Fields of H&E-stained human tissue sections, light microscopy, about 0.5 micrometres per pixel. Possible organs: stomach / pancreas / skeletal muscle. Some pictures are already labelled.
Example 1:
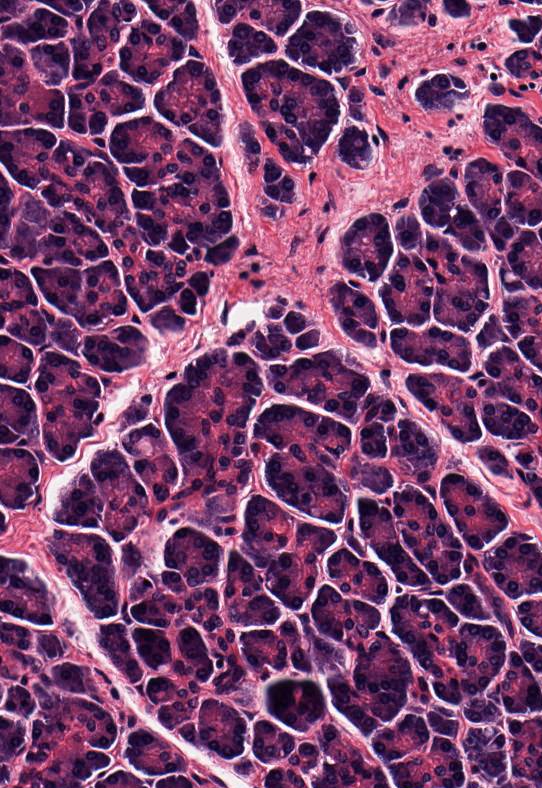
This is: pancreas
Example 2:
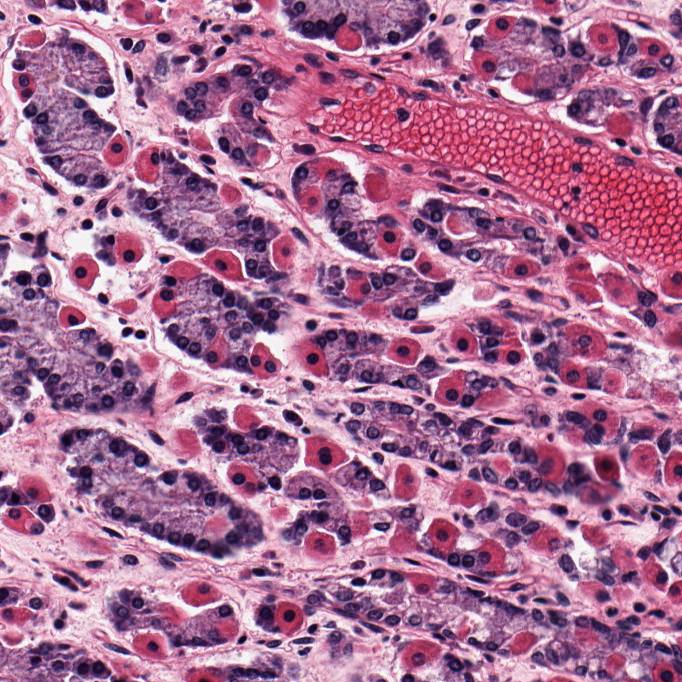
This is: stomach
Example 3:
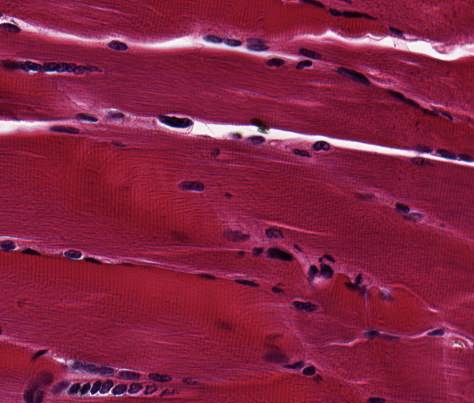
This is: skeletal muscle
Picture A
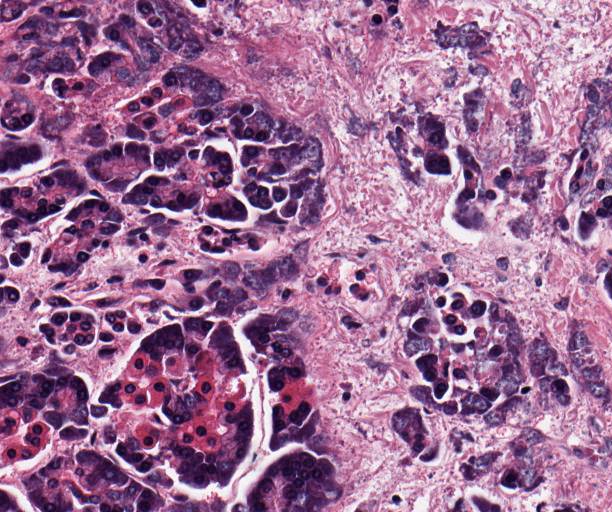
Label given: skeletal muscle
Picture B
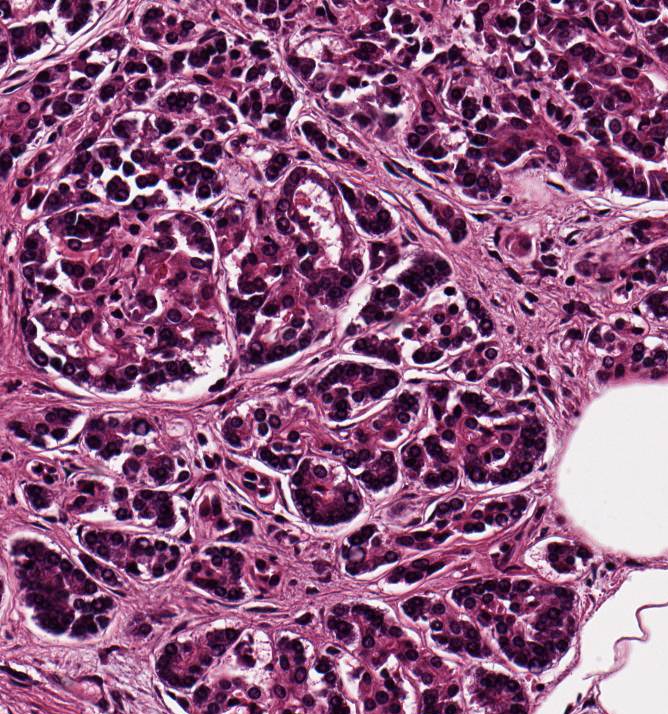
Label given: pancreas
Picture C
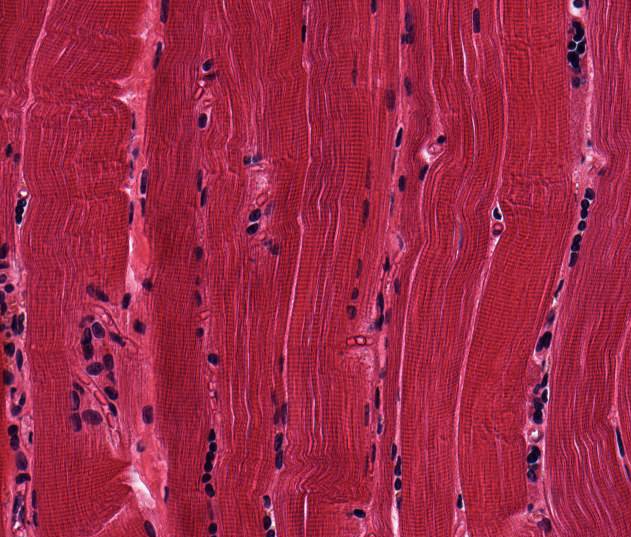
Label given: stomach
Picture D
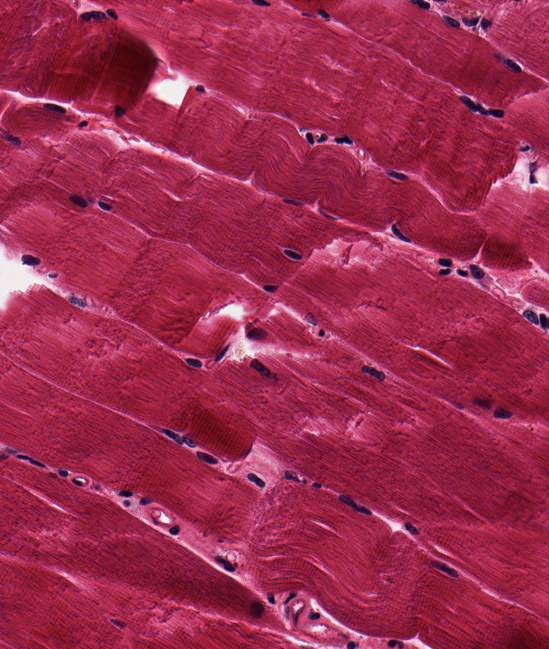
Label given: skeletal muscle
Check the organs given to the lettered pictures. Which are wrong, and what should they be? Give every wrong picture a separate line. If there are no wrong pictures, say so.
A is labelled skeletal muscle; correct label: pancreas
C is labelled stomach; correct label: skeletal muscle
